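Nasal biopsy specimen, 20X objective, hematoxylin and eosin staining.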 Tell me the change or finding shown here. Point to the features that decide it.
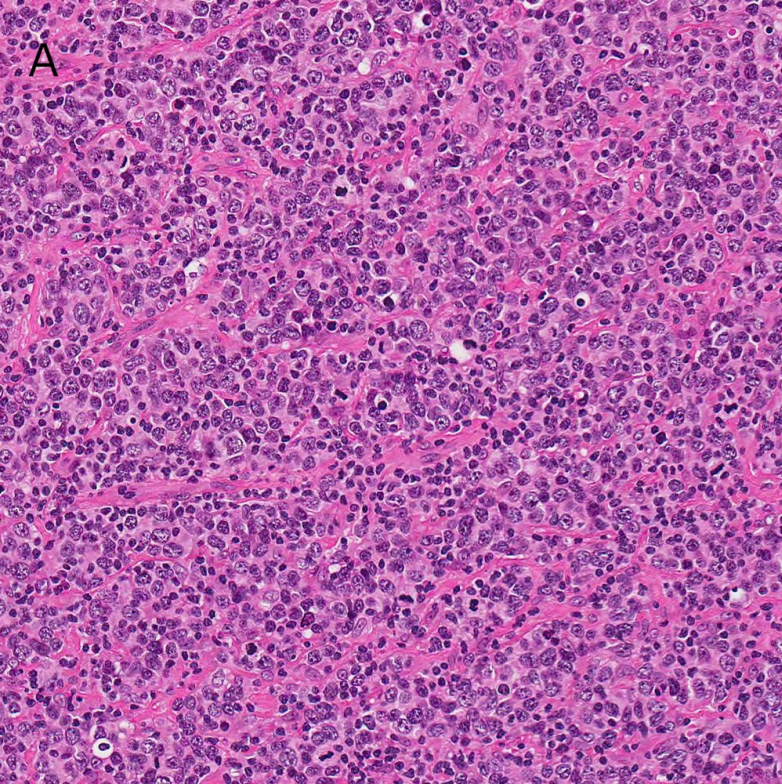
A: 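Cells fill the whole field in continuous sheets with no normal glands or surface lining. Only thin pink strands of stroma run between the cell sheets. Nuclei are large, crowded and vary in size. Several dark mitotic figures are scattered through the field.
Answer: diffuse proliferation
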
